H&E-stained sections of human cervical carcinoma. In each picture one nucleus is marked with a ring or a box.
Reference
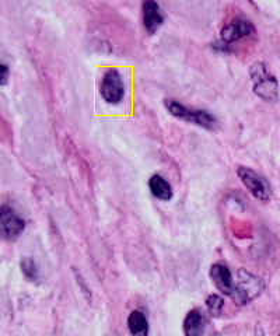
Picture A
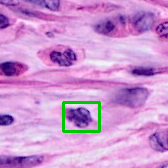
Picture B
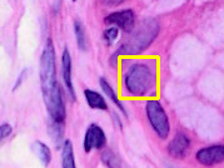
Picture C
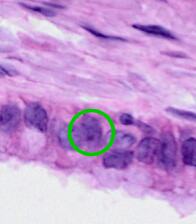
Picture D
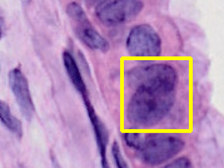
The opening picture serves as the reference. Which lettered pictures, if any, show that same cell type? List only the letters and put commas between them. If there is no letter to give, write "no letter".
A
